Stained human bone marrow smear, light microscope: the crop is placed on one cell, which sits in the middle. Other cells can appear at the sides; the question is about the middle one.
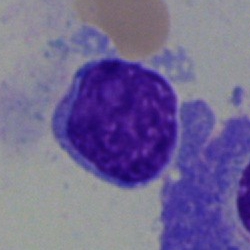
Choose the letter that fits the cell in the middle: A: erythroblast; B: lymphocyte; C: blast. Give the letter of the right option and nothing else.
B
